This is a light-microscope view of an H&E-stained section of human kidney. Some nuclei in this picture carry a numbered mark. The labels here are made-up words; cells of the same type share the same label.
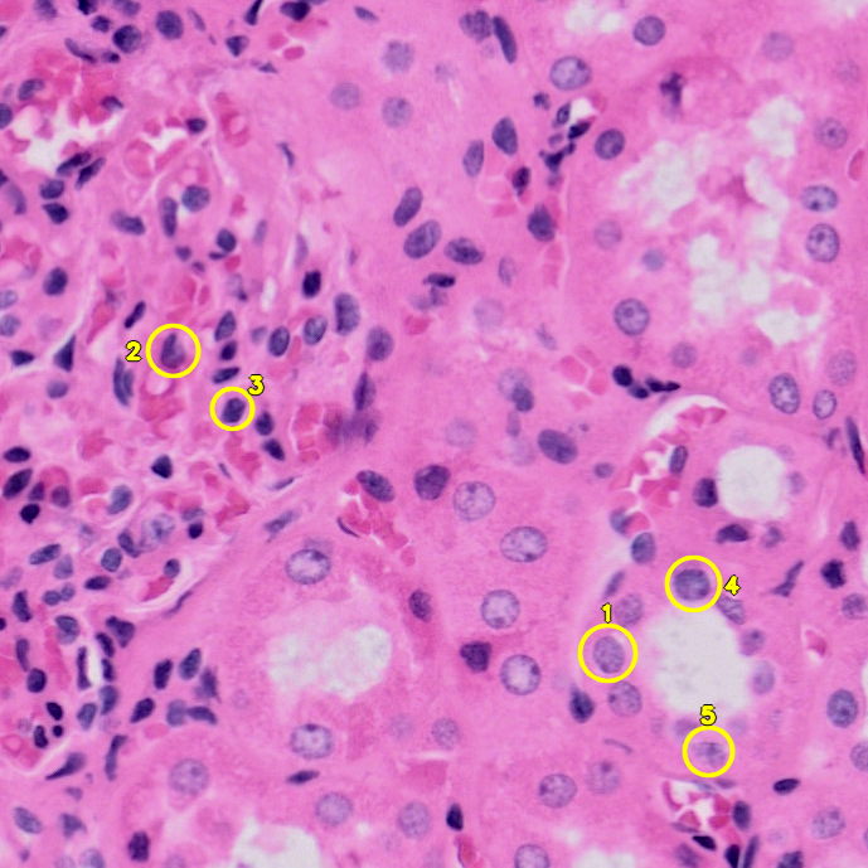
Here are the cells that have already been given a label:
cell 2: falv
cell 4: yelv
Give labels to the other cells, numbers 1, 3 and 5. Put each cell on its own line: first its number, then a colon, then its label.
1: yelv
3: falv
5: yelv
